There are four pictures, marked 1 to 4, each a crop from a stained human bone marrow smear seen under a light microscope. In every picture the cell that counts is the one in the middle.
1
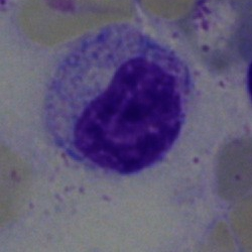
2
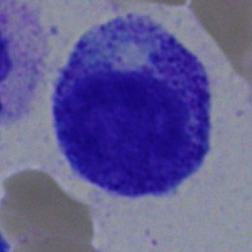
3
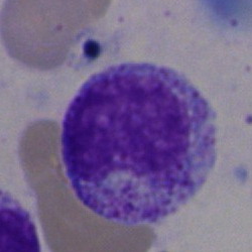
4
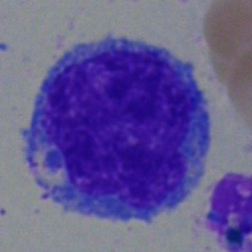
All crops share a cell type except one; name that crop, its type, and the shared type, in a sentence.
Crop 4 contains a blast, setting it apart from the other crops, which all contain myelocytes.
